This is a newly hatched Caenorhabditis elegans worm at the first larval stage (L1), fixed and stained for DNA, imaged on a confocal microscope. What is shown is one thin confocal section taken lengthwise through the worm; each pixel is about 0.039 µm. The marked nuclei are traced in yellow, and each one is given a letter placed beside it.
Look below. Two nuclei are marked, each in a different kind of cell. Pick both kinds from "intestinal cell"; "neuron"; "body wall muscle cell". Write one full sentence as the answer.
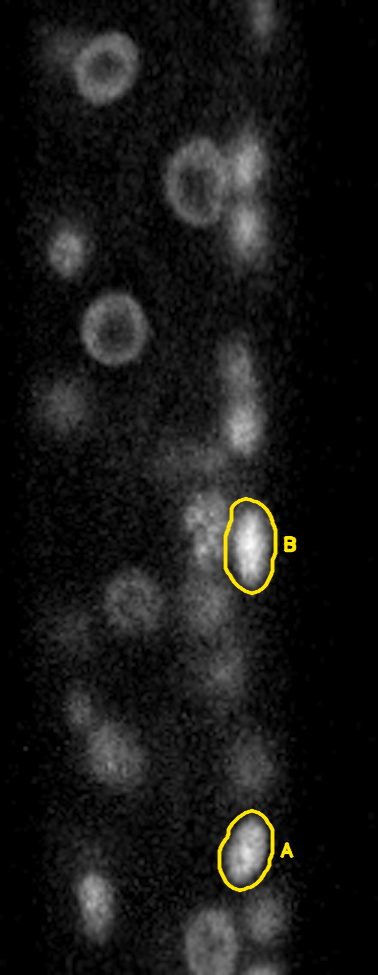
Nucleus A comes from a body wall muscle cell and nucleus B from a neuron.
